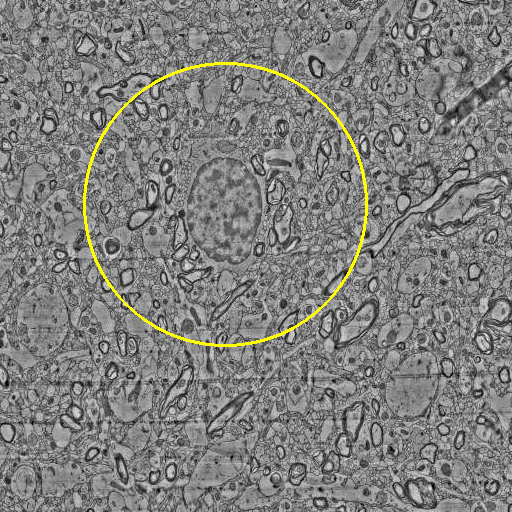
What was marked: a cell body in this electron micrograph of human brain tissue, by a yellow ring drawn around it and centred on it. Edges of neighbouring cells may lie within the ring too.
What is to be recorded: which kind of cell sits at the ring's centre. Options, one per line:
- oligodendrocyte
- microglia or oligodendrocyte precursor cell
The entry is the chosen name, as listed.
oligodendrocyte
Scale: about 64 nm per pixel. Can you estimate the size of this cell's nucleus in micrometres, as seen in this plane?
Approximately 7 by 5 micrometers in this plane.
